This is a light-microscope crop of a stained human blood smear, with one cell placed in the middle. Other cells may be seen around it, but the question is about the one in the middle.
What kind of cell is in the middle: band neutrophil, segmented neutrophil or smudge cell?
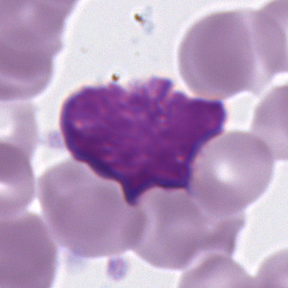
smudge cell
